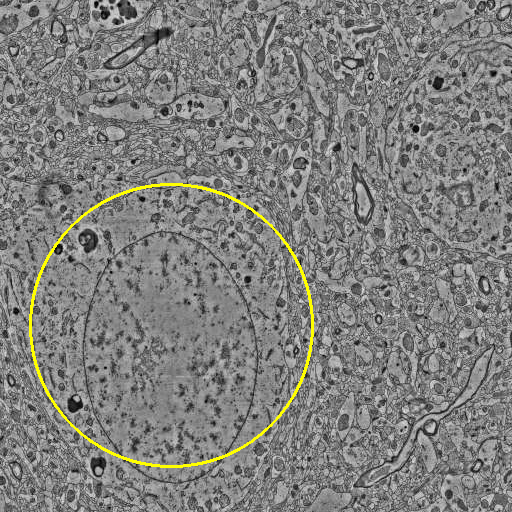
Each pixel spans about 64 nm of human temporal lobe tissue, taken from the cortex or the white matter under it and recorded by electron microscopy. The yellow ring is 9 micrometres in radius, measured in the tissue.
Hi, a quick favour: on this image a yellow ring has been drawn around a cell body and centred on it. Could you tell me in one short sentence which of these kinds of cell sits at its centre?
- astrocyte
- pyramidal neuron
The ring is centred on a pyramidal neuron.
